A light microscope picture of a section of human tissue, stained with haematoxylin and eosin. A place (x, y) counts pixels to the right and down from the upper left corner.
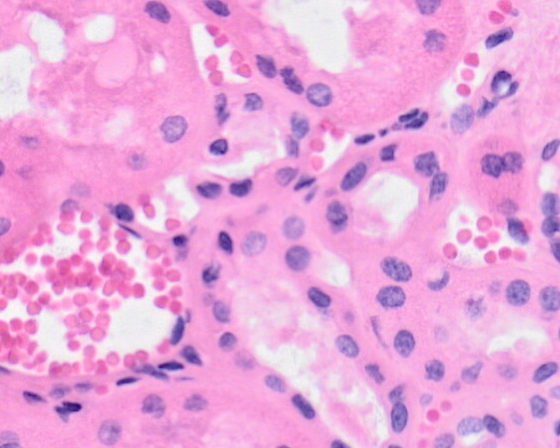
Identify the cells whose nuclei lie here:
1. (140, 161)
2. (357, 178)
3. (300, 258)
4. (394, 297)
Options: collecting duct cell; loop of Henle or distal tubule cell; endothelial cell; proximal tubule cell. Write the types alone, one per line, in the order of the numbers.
proximal tubule cell
collecting duct cell
collecting duct cell
collecting duct cell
